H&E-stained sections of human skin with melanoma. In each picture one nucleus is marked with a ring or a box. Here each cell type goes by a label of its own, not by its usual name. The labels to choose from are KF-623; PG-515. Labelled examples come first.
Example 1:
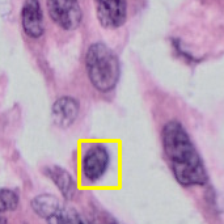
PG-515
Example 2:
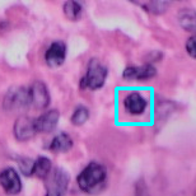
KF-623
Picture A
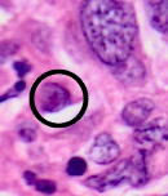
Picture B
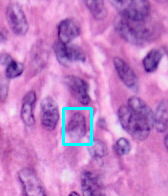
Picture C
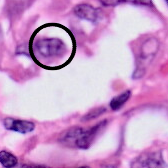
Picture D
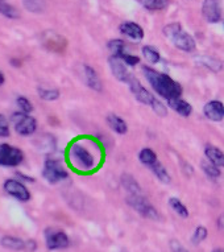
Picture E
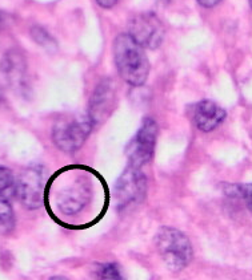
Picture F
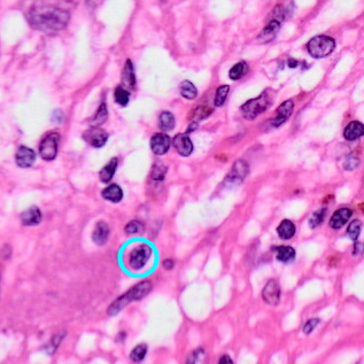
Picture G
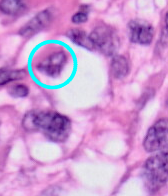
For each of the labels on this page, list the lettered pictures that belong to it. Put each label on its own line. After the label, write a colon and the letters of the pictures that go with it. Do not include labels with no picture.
KF-623: D, F
PG-515: A, B, C, E, G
